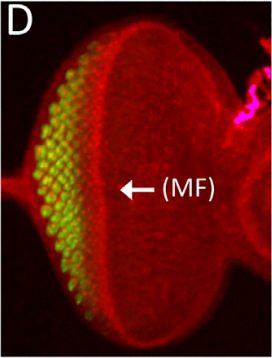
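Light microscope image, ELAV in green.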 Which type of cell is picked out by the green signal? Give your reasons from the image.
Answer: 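Small green spots lie in regular rows and columns on one side of the disc. The green spots fill the region behind a bright vertical red band. No green spots lie on the far side of the band. On this evidence: photoreceptor clusters.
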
